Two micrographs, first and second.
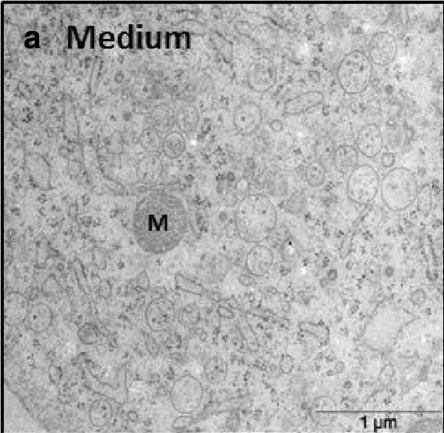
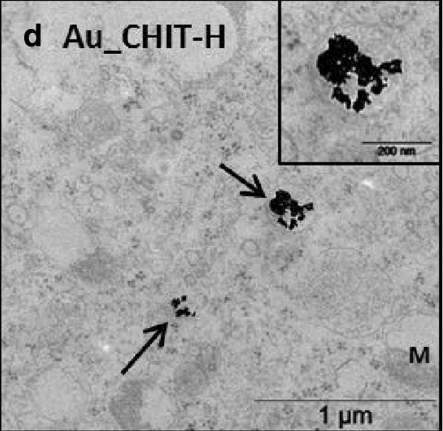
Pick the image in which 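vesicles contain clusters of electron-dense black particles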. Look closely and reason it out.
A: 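First image: vesicles are pale and contain no black particle clusters. On this evidence: the second image.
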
